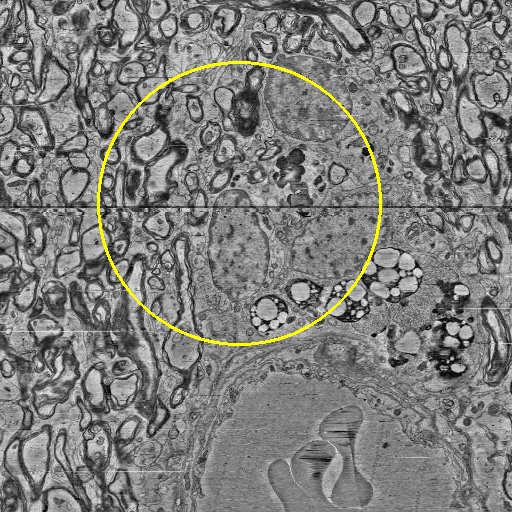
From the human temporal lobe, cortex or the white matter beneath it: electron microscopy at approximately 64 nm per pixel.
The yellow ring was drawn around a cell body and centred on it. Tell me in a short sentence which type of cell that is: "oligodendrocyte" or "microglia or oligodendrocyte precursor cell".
The cell at the ring's centre is a microglial cell or oligodendrocyte precursor cell.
